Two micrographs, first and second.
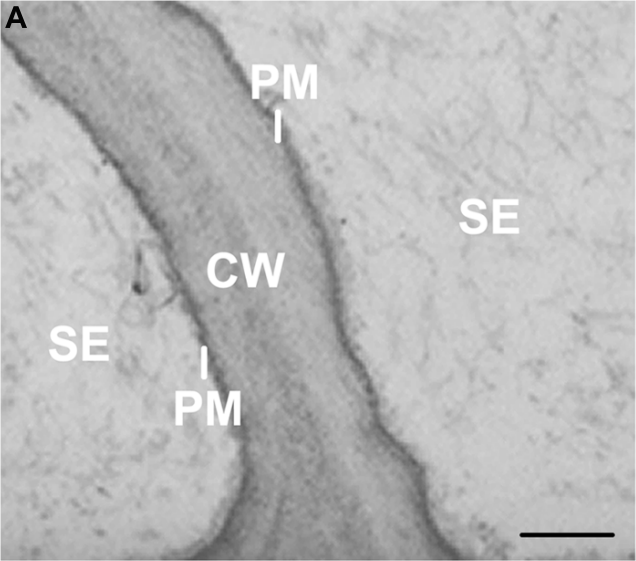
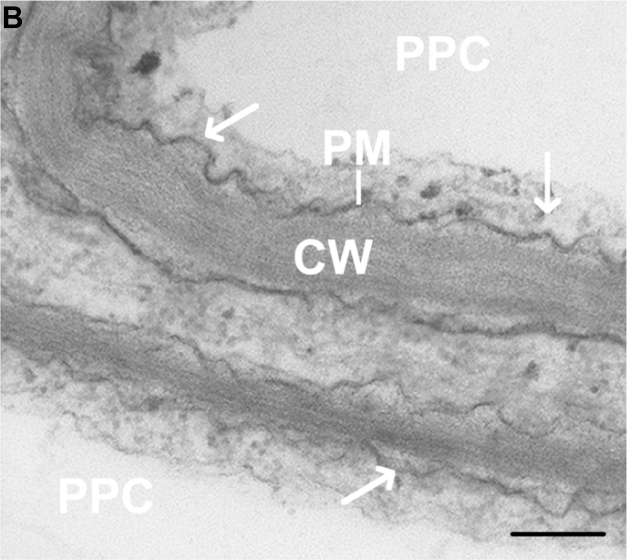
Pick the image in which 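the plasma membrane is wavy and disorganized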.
the second image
